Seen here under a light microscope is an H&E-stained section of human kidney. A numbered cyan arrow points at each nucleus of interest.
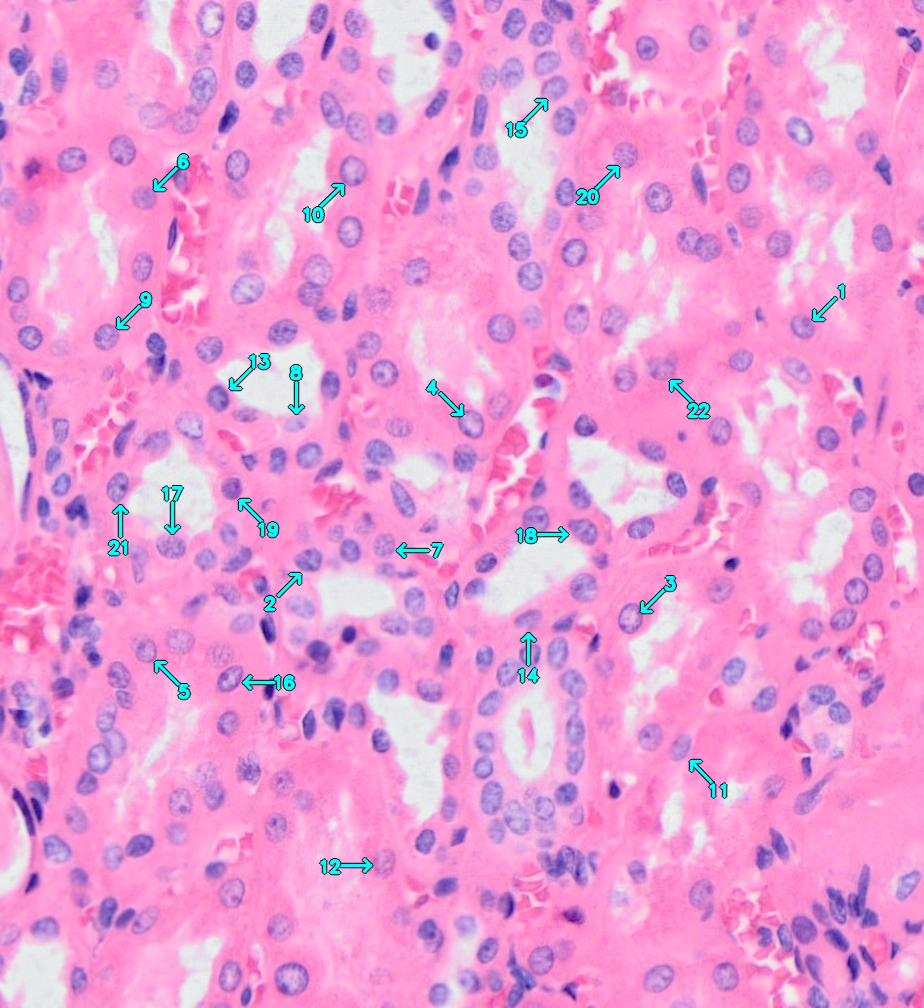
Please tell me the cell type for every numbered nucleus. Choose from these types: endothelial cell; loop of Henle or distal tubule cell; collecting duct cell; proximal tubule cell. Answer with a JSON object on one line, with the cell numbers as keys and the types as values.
{"1": "proximal tubule cell", "2": "collecting duct cell", "3": "proximal tubule cell", "4": "proximal tubule cell", "5": "proximal tubule cell", "6": "proximal tubule cell", "7": "collecting duct cell", "8": "loop of Henle or distal tubule cell", "9": "proximal tubule cell", "10": "proximal tubule cell", "11": "proximal tubule cell", "12": "proximal tubule cell", "13": "loop of Henle or distal tubule cell", "14": "loop of Henle or distal tubule cell", "15": "collecting duct cell", "16": "proximal tubule cell", "17": "loop of Henle or distal tubule cell", "18": "loop of Henle or distal tubule cell", "19": "loop of Henle or distal tubule cell", "20": "proximal tubule cell", "21": "loop of Henle or distal tubule cell", "22": "proximal tubule cell"}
